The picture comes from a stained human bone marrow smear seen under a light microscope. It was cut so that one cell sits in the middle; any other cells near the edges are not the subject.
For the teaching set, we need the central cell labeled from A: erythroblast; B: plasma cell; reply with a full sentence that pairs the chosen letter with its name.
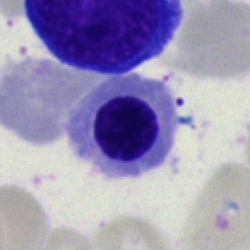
That the central cell is an erythroblast makes option A correct.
